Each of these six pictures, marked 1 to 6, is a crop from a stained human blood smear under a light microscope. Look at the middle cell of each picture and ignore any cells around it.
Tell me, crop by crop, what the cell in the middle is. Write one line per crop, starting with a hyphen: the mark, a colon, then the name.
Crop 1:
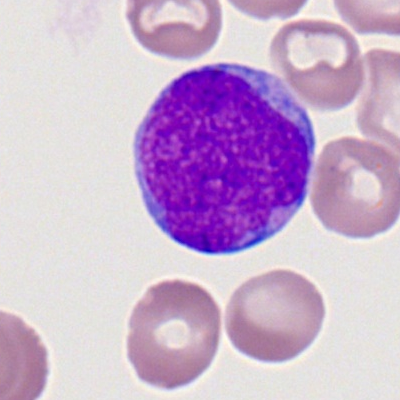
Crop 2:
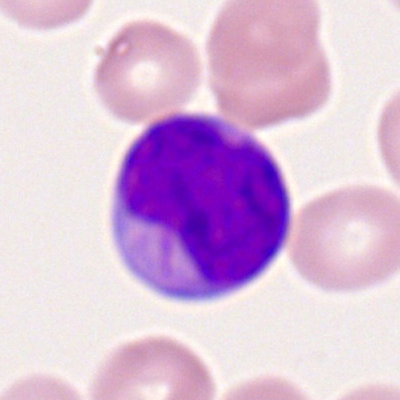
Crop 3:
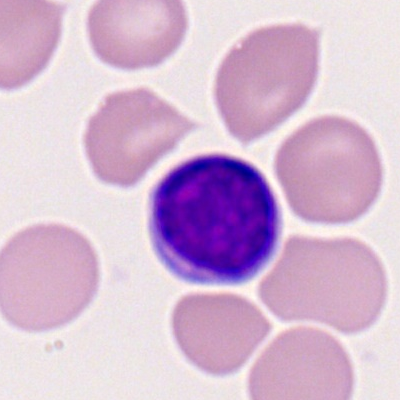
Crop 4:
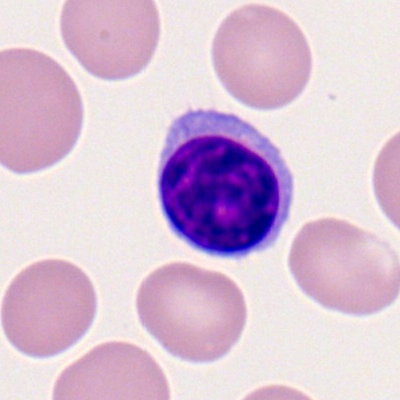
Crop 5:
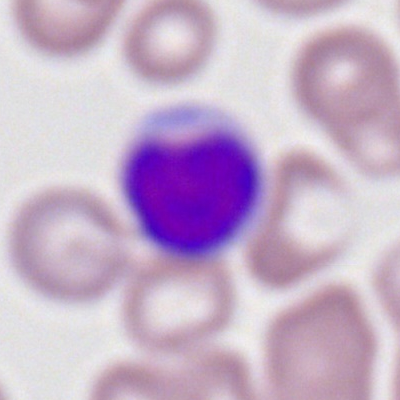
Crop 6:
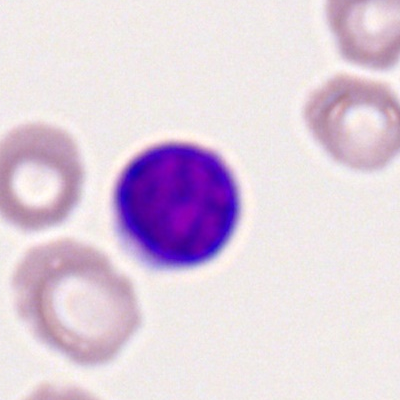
- 1: myeloblast
- 2: myeloblast
- 3: lymphocyte
- 4: lymphocyte
- 5: lymphocyte
- 6: lymphocyte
